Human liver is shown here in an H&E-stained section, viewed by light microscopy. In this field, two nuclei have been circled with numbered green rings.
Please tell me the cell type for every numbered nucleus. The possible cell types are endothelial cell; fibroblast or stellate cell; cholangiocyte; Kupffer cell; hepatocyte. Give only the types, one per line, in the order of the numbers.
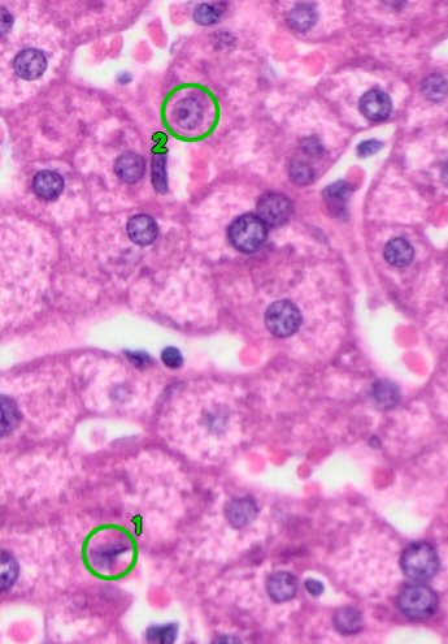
endothelial cell
hepatocyte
